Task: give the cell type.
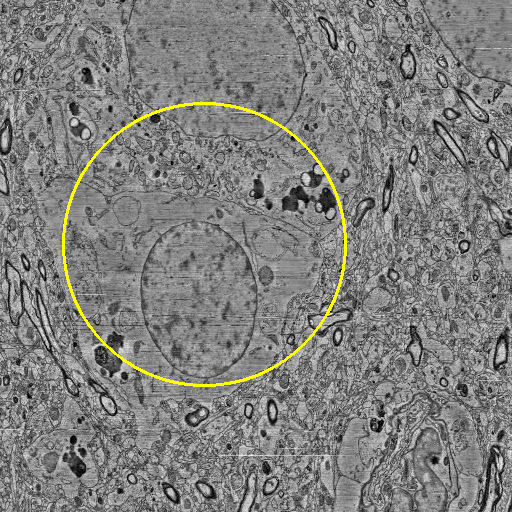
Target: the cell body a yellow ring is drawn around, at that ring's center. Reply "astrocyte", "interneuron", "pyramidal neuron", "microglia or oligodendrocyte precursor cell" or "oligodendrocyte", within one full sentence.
In this picture, the cell whose body lies at the ring's center is an astrocyte.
